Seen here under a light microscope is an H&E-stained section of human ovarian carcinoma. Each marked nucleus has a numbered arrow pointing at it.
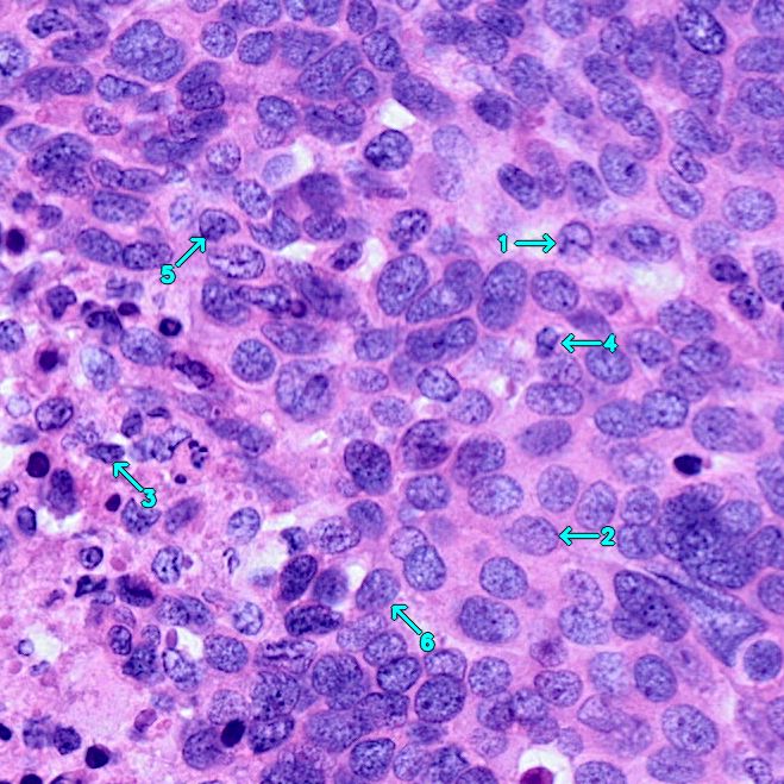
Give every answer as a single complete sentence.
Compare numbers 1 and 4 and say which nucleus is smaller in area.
Nucleus 4 covers less area, with nucleus 1 about 2 times as large.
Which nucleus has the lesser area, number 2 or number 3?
The smaller nucleus is 3, and 2 covers roughly 2.5 times its area.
